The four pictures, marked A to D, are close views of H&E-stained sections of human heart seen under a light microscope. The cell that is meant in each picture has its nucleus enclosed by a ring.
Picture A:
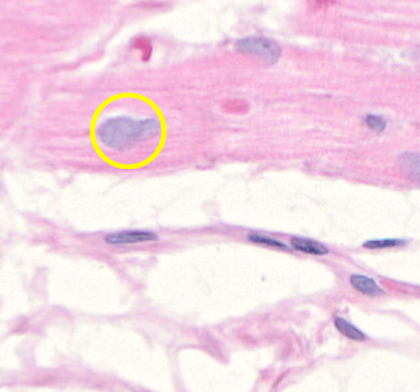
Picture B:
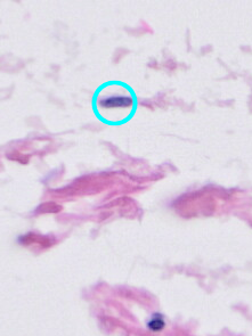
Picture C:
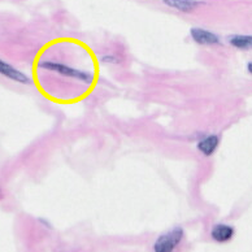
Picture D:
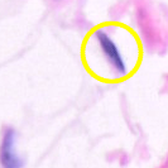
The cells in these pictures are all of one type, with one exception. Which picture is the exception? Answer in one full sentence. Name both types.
Picture A is the odd one out: it shows a cardiomyocyte, while the others show fibroblasts.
